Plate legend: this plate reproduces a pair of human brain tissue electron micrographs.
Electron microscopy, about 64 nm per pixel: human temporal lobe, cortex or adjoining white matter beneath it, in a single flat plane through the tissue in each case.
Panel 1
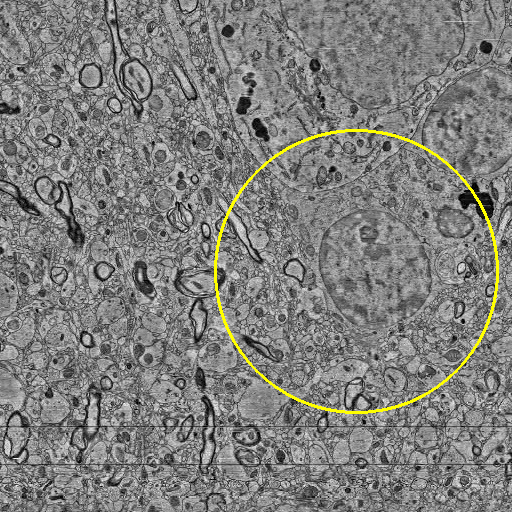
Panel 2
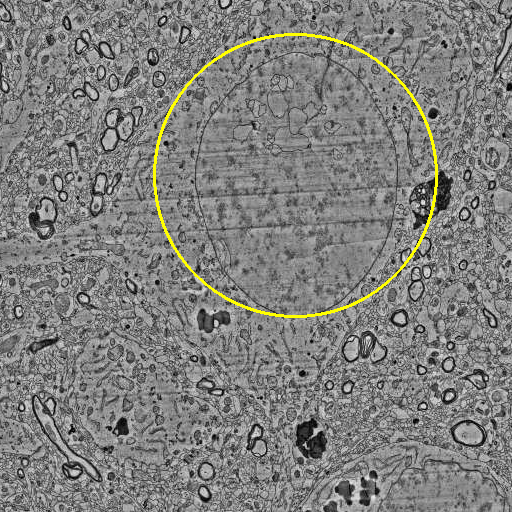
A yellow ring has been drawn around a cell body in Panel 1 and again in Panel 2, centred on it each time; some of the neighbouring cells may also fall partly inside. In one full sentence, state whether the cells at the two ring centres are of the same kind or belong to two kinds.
The ring-centred cells of Panel 1 and Panel 2 belong to two kinds.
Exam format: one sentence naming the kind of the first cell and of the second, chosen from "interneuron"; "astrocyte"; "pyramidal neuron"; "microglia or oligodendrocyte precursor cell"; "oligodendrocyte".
The first picture's cell is an oligodendrocyte, and the second picture's cell is a pyramidal neuron.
